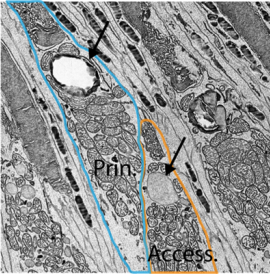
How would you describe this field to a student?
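The orange-outlined member is narrower and contains a patch of finer, more uniform material where the second arrow points. Neighbouring cells with their own mitochondria and striped outer segment profiles lie around them.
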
